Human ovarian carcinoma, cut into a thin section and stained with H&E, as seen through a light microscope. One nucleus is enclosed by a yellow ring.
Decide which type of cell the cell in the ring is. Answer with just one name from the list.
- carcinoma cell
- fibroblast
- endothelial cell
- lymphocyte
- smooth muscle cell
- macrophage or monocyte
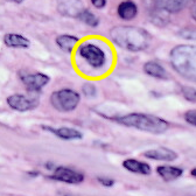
lymphocyte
